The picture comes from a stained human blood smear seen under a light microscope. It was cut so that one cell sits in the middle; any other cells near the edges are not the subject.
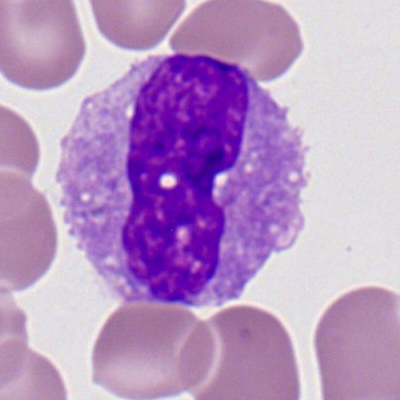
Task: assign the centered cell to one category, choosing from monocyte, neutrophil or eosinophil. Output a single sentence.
The cell marked by its central position in the crop is a monocyte.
